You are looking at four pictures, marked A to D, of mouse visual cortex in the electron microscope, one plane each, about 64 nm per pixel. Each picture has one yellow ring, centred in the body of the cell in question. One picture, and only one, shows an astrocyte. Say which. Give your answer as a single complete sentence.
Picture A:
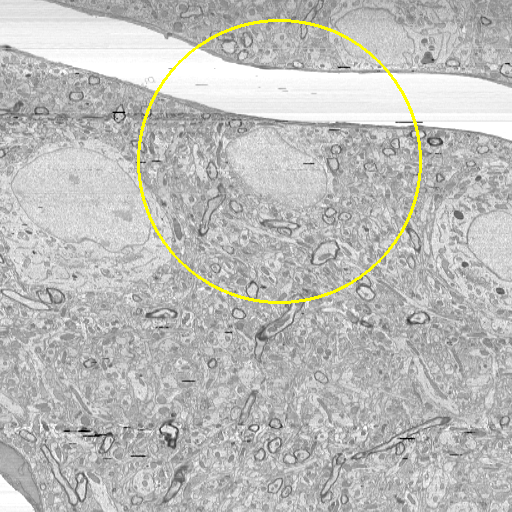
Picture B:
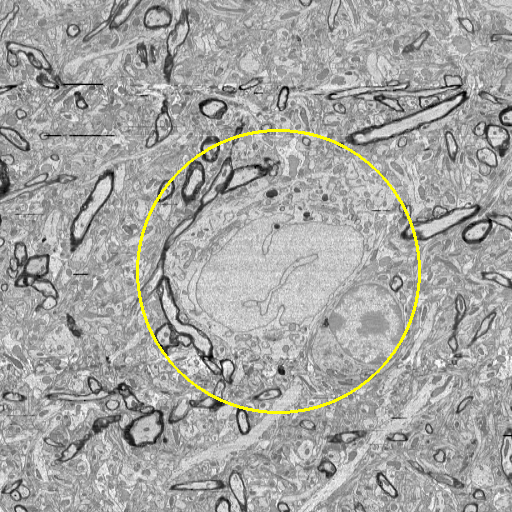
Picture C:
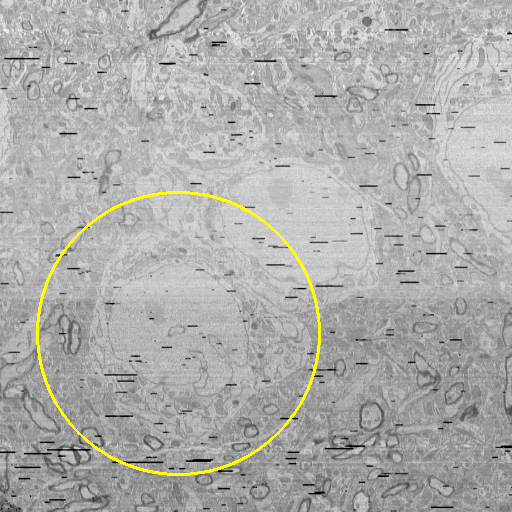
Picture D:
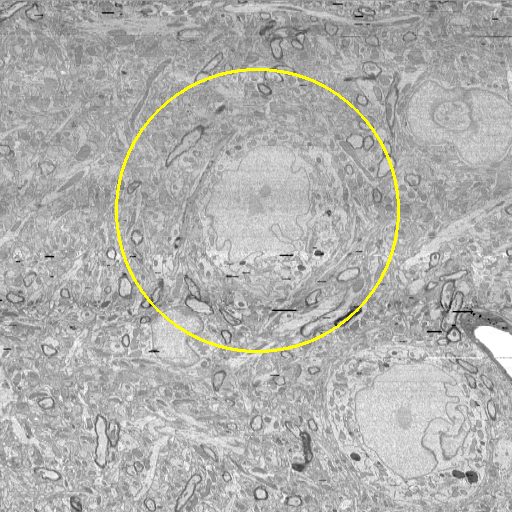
The astrocyte is the one in picture A.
